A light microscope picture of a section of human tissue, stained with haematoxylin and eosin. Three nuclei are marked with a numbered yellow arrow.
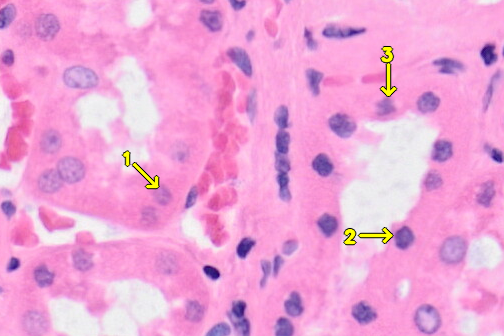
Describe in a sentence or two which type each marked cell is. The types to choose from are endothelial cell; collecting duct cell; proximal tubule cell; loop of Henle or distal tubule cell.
Cell 1 is a proximal tubule cell, cell 2 is a loop of Henle or distal tubule cell and cell 3 is a loop of Henle or distal tubule cell.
